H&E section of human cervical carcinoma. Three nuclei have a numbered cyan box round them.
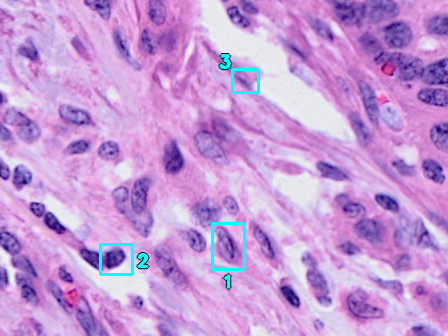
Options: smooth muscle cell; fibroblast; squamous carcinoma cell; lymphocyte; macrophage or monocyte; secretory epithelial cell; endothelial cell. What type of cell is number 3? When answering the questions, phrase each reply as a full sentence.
The one numbered 3 among the marked cells is a fibroblast.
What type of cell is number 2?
The cell bearing label 2 corresponds to a lymphocyte.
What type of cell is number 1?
The cell with the number 1 is a macrophage or monocyte.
